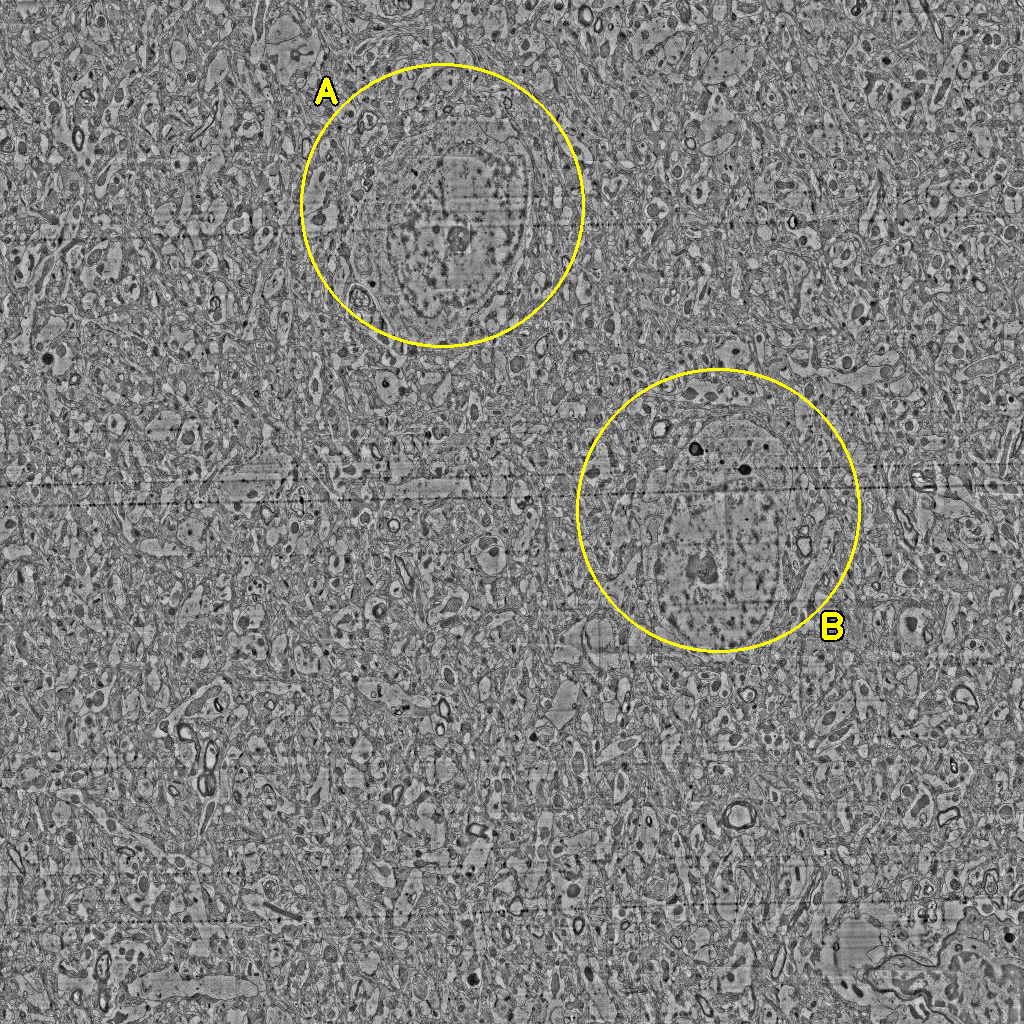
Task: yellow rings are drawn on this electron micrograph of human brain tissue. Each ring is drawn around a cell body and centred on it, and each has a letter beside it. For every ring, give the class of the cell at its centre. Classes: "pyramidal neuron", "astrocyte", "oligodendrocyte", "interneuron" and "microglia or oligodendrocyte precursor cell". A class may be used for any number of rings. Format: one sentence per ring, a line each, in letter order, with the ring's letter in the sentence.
The cell ringed as A is an interneuron.
The cell ringed as B is an interneuron.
